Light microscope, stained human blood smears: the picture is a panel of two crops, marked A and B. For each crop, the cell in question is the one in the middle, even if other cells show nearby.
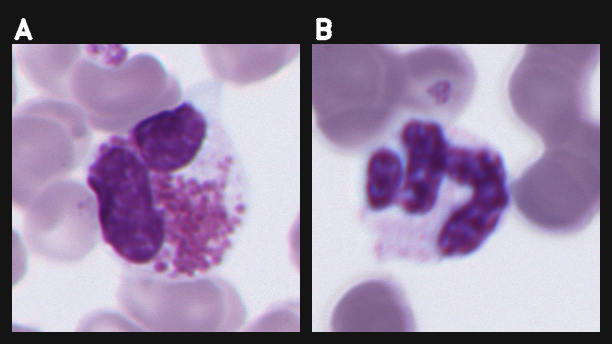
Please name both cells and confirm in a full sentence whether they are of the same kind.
No, crop B holds a segmented neutrophil, while crop A holds an eosinophil.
